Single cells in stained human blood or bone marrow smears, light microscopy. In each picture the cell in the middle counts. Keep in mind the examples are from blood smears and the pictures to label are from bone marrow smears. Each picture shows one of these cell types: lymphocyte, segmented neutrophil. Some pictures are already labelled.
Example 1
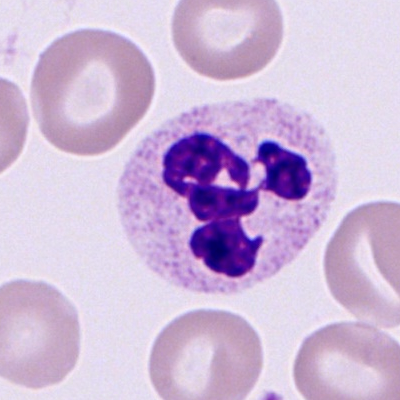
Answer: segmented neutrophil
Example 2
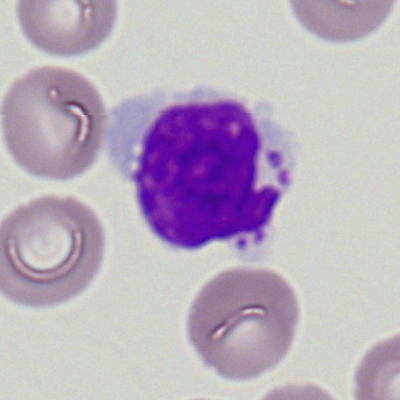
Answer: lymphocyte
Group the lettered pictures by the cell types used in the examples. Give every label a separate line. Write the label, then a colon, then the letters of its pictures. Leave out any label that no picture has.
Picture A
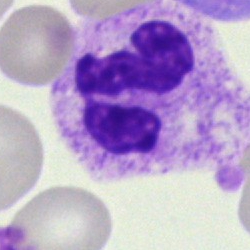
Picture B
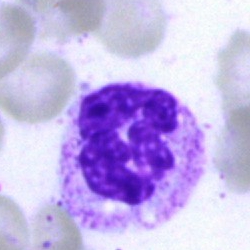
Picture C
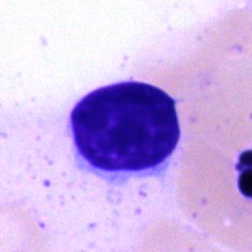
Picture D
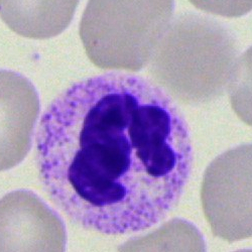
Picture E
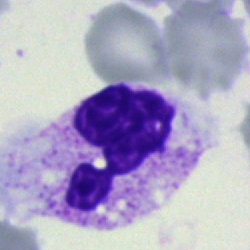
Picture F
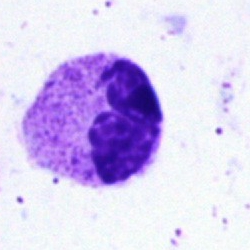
lymphocyte: C
segmented neutrophil: A, B, D, E, F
